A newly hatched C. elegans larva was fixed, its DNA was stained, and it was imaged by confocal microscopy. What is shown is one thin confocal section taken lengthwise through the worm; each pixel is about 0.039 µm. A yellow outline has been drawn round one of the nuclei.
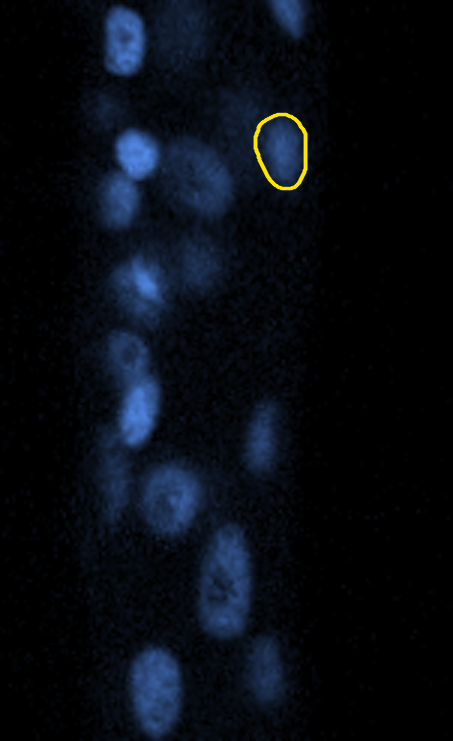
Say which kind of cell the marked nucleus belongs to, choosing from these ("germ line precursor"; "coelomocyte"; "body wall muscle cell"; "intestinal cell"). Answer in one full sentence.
The marked nucleus belongs to a body wall muscle cell.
